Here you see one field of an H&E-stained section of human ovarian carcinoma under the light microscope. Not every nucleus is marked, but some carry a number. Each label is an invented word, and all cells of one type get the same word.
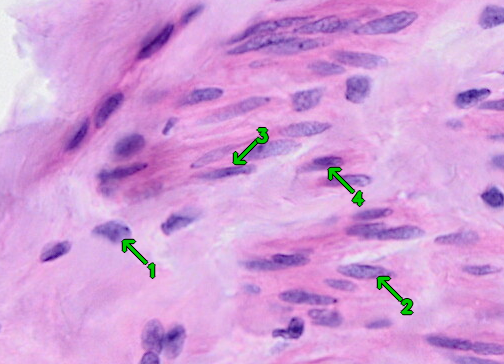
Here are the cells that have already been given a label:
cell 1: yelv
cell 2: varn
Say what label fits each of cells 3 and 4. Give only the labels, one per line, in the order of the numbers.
varn
varn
